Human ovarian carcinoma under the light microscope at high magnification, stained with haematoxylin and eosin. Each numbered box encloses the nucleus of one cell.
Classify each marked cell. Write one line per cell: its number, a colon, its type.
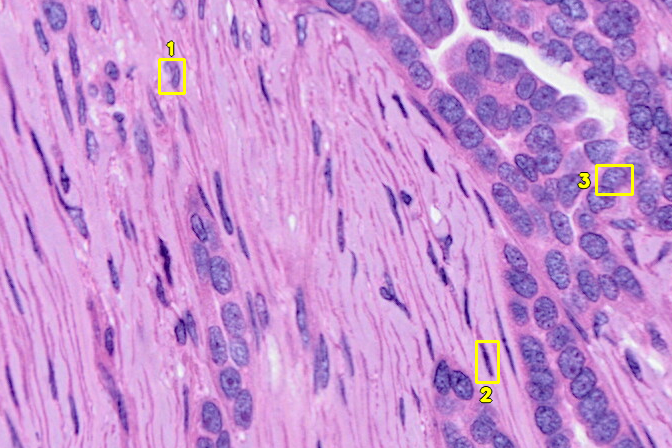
1: fibroblast
2: fibroblast
3: carcinoma cell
